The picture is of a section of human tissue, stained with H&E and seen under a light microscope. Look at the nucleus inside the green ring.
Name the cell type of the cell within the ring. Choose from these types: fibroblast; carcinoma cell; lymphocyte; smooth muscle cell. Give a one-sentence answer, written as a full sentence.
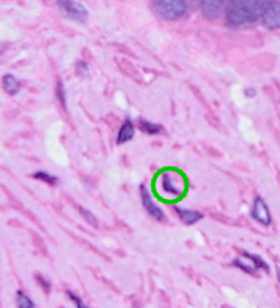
So far as cell type goes, the cell within the ring is a fibroblast.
